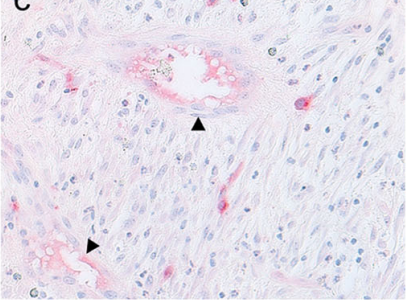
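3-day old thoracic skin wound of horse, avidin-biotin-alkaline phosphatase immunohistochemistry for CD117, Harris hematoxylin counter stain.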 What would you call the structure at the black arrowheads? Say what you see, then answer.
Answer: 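The arrowheads point to open lumina lined by a thin cell layer. Pale pink material lies in and around the lumina. That points to this answer: blood vessel.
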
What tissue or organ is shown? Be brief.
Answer: Granulation tissue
